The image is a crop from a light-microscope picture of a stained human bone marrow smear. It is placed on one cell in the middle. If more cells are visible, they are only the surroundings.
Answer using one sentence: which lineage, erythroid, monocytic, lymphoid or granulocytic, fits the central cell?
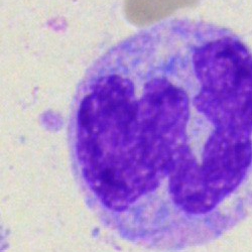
The middle cell is a constituent of the monocytic lineage.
